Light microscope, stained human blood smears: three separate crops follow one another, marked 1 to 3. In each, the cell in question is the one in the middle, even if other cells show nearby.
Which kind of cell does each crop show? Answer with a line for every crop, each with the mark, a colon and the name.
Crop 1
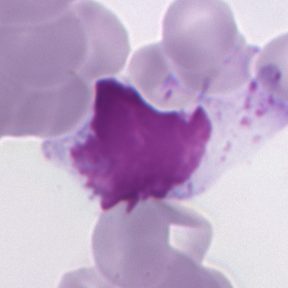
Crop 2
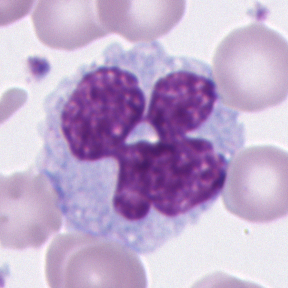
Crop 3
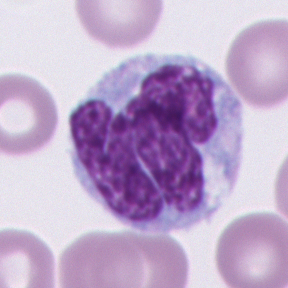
1: large granular lymphocyte
2: monocyte
3: monocyte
